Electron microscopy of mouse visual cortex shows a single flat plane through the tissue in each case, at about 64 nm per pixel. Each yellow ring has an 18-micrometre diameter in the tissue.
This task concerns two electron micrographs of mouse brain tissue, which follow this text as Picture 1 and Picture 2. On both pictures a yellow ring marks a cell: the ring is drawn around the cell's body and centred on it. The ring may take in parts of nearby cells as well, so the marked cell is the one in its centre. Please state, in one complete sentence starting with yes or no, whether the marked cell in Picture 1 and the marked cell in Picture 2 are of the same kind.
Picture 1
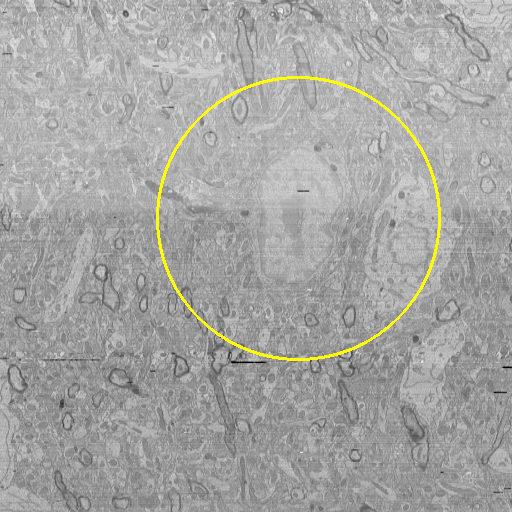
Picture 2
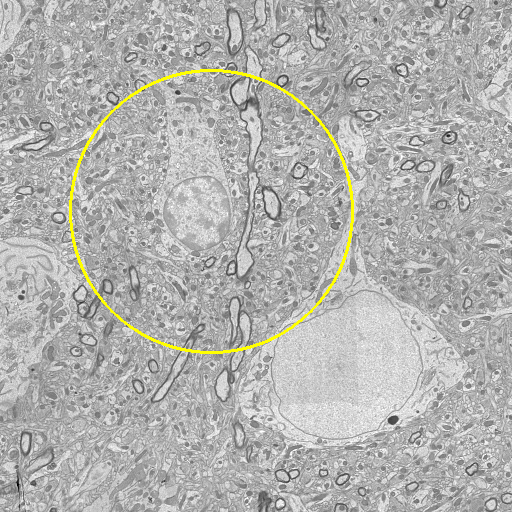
Yes, the marked cells in both pictures are of the same kind.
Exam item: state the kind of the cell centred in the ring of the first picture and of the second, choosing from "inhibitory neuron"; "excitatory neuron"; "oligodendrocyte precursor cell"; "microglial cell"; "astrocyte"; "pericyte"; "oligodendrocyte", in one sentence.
Each of the two rings is centred on an oligodendrocyte.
